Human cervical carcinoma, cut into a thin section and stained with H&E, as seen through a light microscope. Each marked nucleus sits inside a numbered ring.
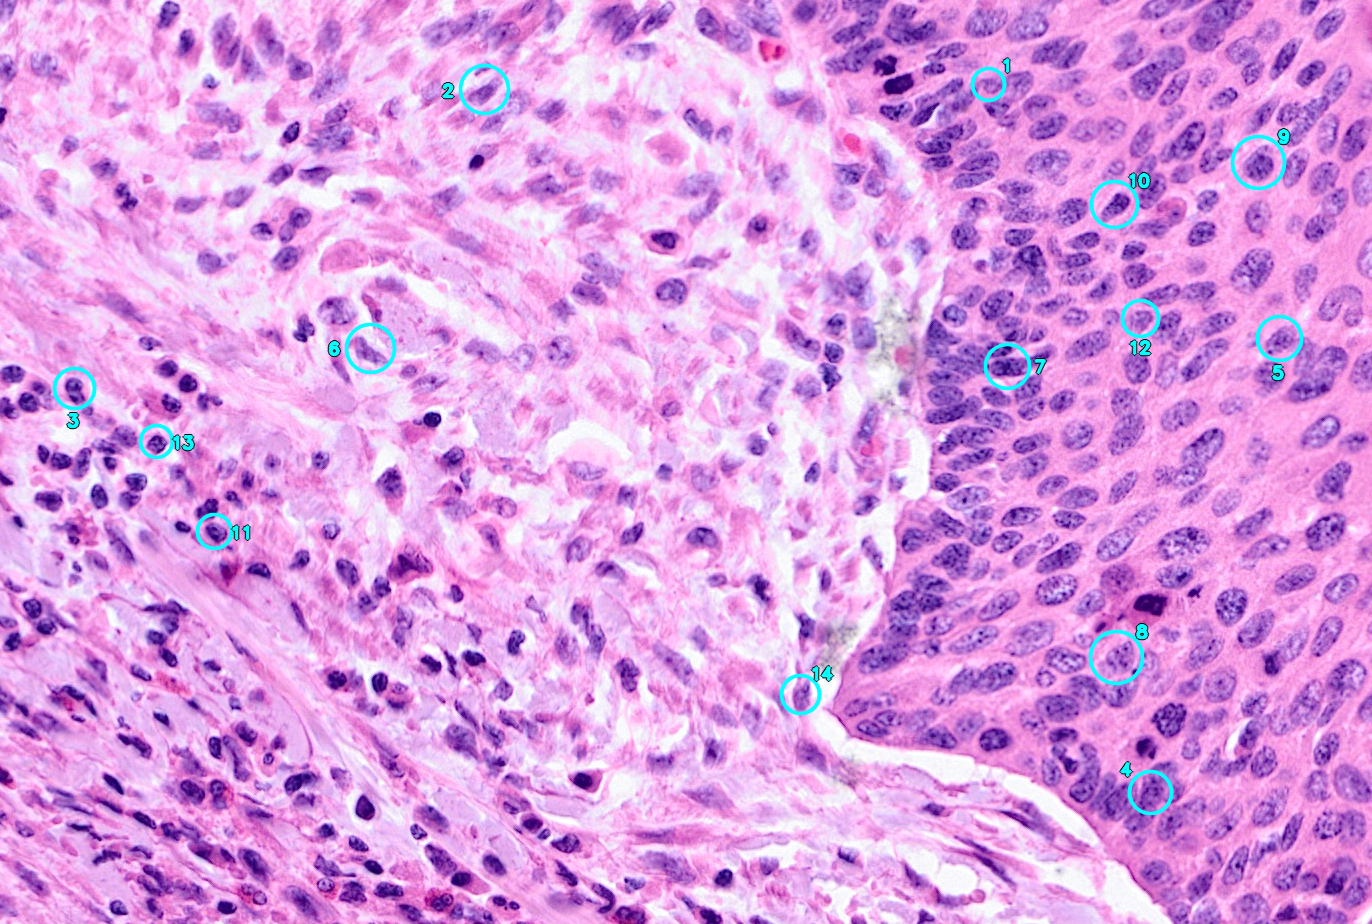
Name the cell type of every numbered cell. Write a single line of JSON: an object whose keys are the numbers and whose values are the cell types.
{"1": "squamous carcinoma cell", "2": "fibroblast", "3": "lymphocyte", "4": "squamous carcinoma cell", "5": "squamous carcinoma cell", "6": "fibroblast", "7": "squamous carcinoma cell", "8": "squamous carcinoma cell", "9": "squamous carcinoma cell", "10": "squamous carcinoma cell", "11": "lymphocyte", "12": "squamous carcinoma cell", "13": "lymphocyte", "14": "fibroblast"}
